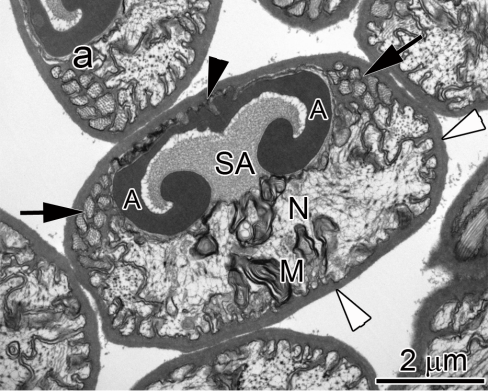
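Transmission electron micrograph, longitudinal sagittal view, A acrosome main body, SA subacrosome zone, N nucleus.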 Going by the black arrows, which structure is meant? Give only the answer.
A: Radial arms.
